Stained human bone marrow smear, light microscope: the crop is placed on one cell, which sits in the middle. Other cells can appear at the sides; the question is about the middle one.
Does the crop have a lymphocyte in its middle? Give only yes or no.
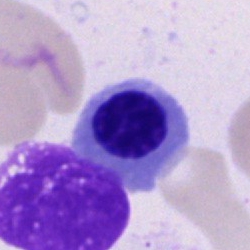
no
